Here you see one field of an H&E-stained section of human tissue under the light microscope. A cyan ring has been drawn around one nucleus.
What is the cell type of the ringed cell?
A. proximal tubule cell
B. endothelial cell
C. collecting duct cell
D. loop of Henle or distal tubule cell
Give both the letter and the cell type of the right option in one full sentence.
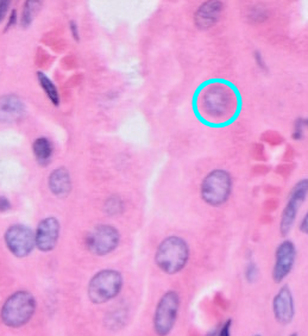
The proper choice here is A: the ringed cell is a proximal tubule cell.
